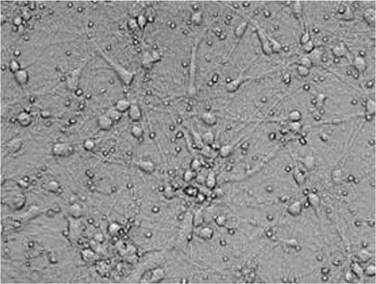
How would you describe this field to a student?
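These are cultured neurons seen in phase contrast, with bright, rounded to pear-shaped cell bodies, many grouped in small clusters. Thin processes run out from the cell bodies and criss-cross the dish, linking the clusters into a loose network.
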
